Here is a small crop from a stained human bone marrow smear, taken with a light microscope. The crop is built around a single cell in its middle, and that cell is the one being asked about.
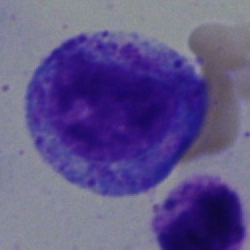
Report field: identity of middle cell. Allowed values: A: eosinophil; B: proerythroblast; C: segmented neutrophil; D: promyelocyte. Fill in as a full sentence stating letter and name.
The correct identification, given in option D, is that the central cell is a promyelocyte.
